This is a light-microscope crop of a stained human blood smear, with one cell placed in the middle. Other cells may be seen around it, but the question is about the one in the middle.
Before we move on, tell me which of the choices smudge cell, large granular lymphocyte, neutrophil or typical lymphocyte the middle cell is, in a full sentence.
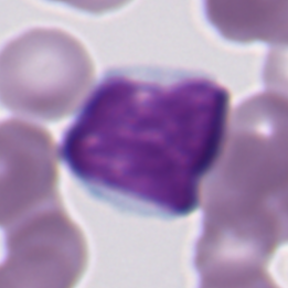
The target cell in the middle of the crop is a typical lymphocyte.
